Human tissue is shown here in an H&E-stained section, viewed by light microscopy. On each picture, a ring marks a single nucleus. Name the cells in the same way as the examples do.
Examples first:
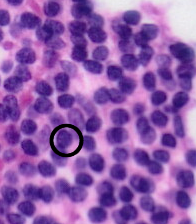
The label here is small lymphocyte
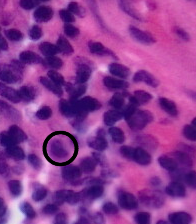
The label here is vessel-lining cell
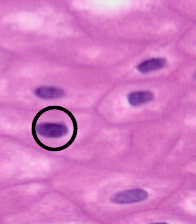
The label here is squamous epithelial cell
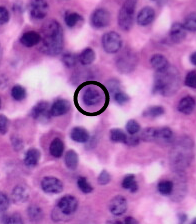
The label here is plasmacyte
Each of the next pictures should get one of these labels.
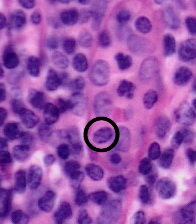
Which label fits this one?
vessel-lining cell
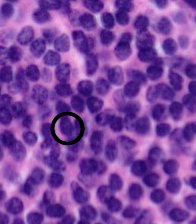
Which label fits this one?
small lymphocyte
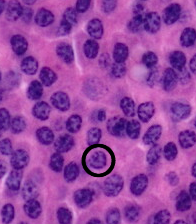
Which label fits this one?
plasmacyte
